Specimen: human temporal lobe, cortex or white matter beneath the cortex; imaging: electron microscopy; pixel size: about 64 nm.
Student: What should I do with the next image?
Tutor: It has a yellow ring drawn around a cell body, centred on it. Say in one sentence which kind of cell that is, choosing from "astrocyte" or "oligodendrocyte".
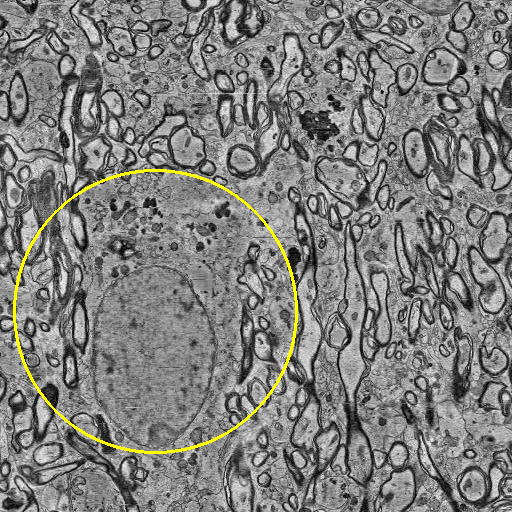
The ring's centre is occupied by an astrocyte.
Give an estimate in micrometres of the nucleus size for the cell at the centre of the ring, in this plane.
In this plane, about 12 by 8 micrometres: the nucleus is clearly longer than it is wide.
